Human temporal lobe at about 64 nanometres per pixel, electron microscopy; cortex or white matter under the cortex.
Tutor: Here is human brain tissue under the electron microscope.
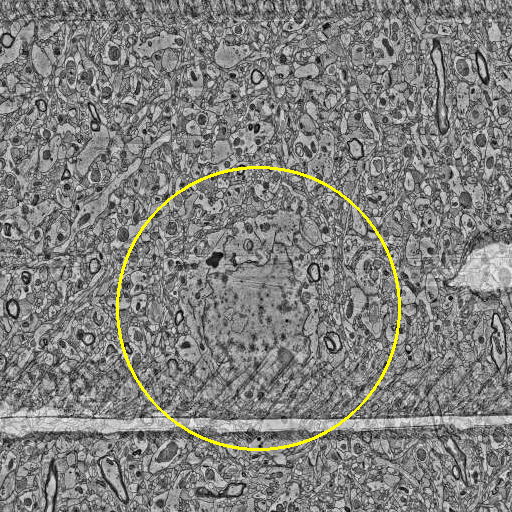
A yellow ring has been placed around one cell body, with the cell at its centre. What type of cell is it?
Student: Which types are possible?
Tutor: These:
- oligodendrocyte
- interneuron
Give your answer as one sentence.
What the ring picks out here is an interneuron.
